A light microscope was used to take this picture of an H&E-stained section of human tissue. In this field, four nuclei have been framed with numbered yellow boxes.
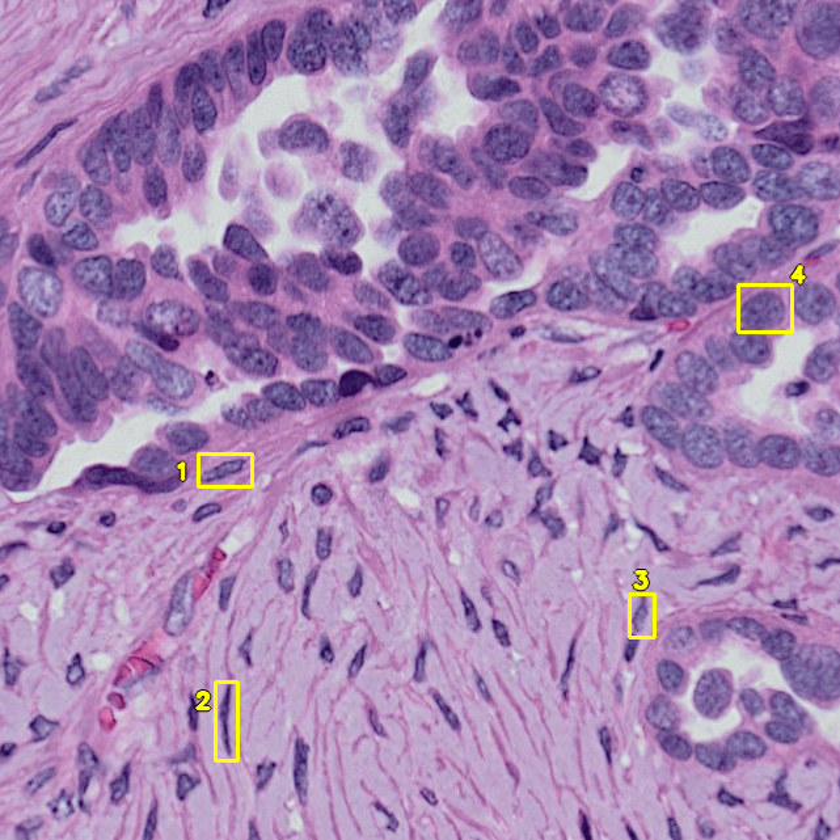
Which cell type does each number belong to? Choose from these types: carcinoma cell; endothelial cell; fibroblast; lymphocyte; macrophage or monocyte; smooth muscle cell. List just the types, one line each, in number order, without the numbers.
fibroblast
fibroblast
fibroblast
carcinoma cell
